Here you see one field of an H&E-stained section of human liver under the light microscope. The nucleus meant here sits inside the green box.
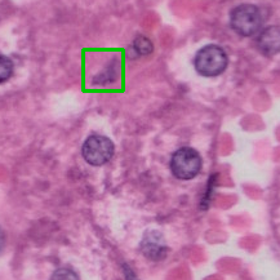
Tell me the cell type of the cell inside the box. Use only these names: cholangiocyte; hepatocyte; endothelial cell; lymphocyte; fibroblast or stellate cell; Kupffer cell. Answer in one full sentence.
At the level of cell identity, the cell inside the box is an endothelial cell.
